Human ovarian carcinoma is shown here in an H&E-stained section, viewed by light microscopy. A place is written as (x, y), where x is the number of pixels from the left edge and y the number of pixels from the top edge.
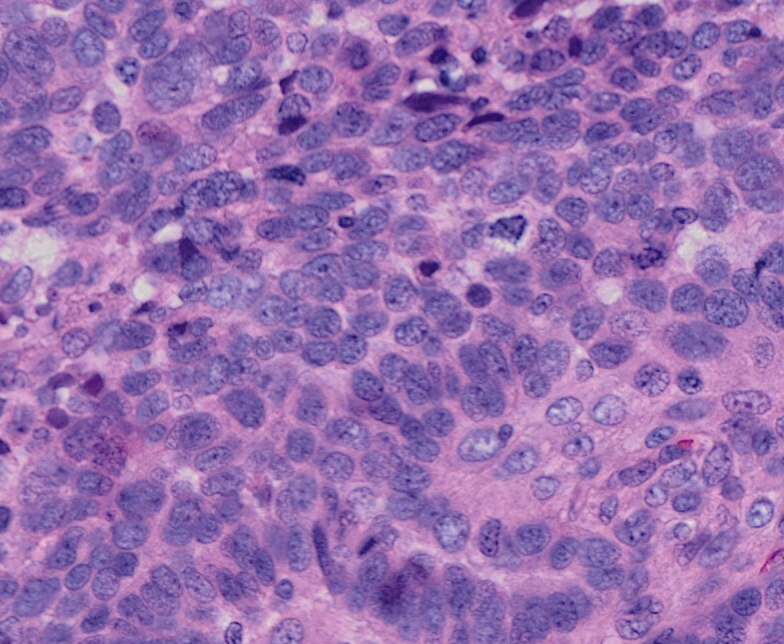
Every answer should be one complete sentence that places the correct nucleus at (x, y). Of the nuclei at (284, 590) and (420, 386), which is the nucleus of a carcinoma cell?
The nucleus of a carcinoma cell lies at (420, 386), not at the other position.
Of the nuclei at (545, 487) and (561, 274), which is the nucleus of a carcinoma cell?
Located at (561, 274), this nucleus is the one belonging to a carcinoma cell.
